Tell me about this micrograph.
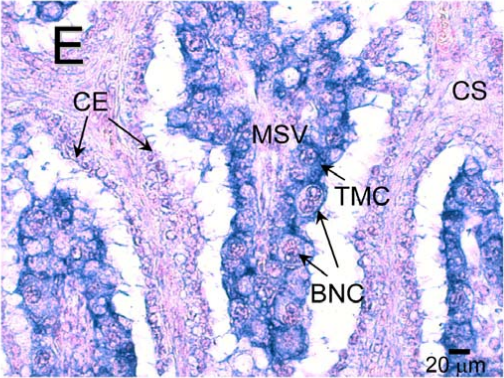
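Secondary villi of the placentome, each with a core of mesenchyme covered by trophoblast, set within crypts lined by caruncular epithelium. The trophoblast covering is stained dense blue and holds many large rounded binucleate cells with pink nuclei and paler cytoplasm, between smaller mononucleate cells. The mesenchymal core of the villus is narrow and pink with elongated cells. The caruncular epithelium facing the villi is pale and unstained, with clear spaces between it and the trophoblast. Pink fibrous caruncular stroma lies between the crypts.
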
